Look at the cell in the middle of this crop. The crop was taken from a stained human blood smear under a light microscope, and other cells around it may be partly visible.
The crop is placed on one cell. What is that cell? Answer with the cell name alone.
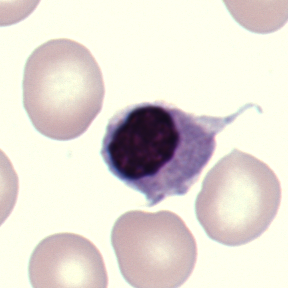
erythroblast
